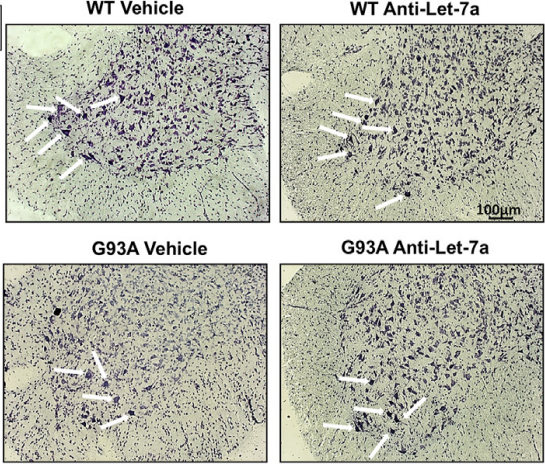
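These are four Nissl-stained sections of spinal cord grey matter, with motor neurons marked by white arrows. The motor neurons are large, angular cell bodies stained dark purple.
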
